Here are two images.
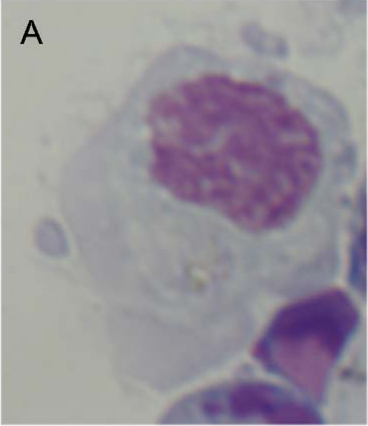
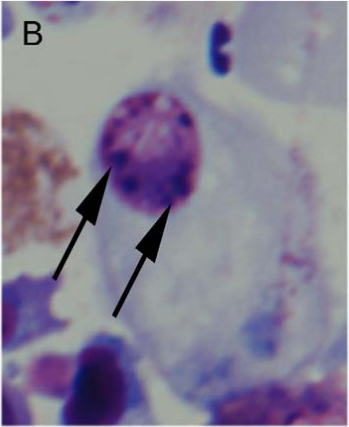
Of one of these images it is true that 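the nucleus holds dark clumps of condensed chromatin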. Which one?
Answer: The second image.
